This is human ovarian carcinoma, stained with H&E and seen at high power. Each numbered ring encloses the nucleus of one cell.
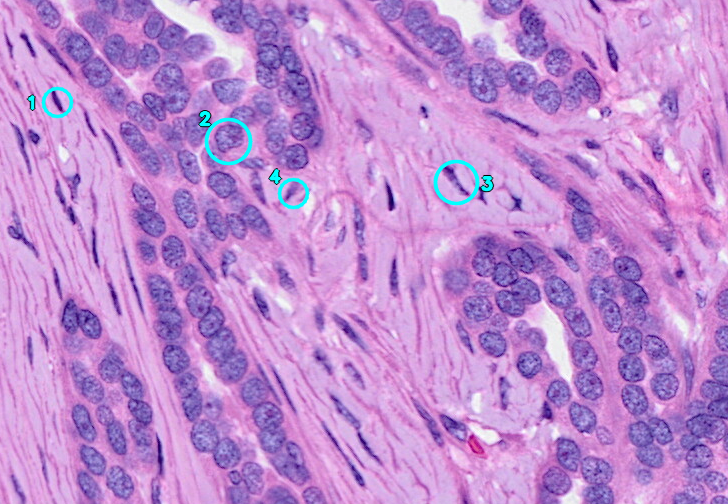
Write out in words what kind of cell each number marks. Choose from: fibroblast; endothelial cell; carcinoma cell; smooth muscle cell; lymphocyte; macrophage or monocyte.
Cells 1, 3 and 4 are fibroblasts. Cell 2 is a carcinoma cell.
